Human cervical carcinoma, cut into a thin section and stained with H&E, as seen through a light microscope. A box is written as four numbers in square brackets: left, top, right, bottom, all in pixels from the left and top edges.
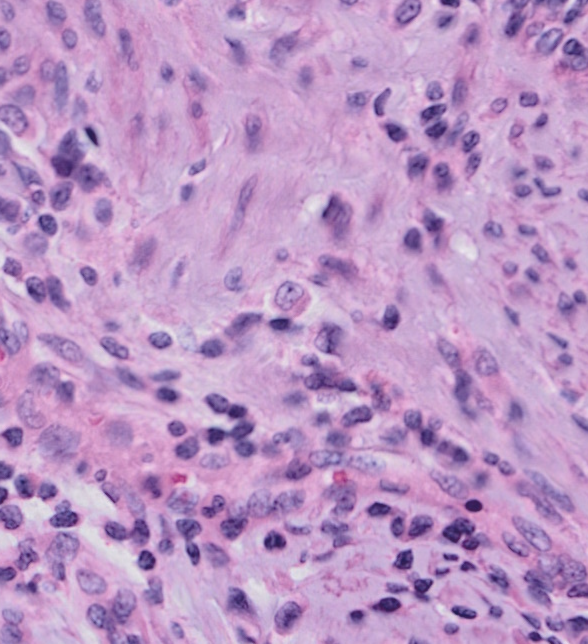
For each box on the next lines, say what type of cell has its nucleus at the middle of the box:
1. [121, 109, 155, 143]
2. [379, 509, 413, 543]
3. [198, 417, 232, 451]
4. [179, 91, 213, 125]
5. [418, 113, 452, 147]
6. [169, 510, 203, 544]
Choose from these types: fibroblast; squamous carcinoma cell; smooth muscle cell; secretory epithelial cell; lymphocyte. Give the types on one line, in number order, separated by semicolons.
smooth muscle cell; lymphocyte; lymphocyte; smooth muscle cell; lymphocyte; lymphocyte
